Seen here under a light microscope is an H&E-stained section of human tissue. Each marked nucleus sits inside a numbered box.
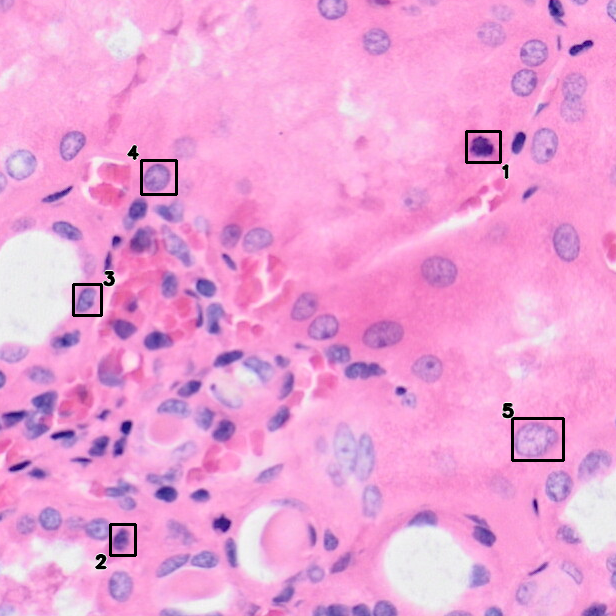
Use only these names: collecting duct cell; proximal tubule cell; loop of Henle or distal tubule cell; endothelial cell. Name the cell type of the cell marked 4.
proximal tubule cell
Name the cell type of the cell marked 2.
loop of Henle or distal tubule cell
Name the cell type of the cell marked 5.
proximal tubule cell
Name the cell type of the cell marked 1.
proximal tubule cell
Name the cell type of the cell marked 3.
loop of Henle or distal tubule cell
